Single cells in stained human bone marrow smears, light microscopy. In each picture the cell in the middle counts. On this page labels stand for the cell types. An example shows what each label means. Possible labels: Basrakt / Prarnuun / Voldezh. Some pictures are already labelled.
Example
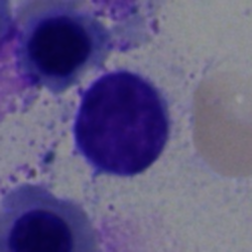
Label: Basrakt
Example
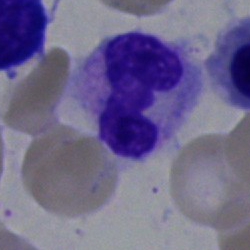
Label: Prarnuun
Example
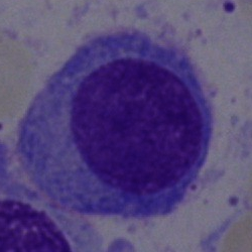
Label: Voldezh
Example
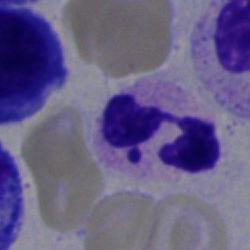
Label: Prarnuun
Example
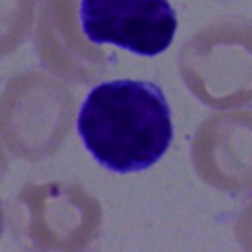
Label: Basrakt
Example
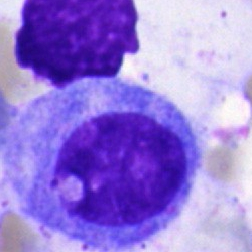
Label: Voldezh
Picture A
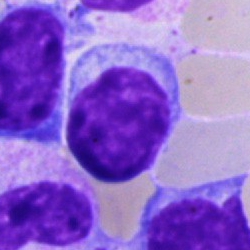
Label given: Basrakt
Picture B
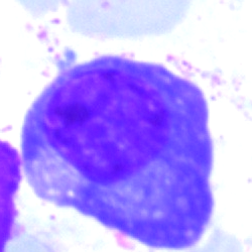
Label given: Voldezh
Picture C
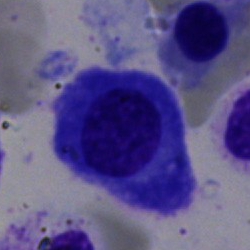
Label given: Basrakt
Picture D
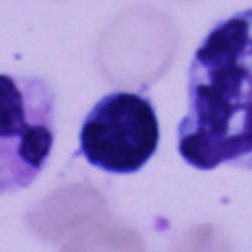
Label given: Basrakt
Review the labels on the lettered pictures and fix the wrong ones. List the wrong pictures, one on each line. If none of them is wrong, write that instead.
C should be Voldezh, not Basrakt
